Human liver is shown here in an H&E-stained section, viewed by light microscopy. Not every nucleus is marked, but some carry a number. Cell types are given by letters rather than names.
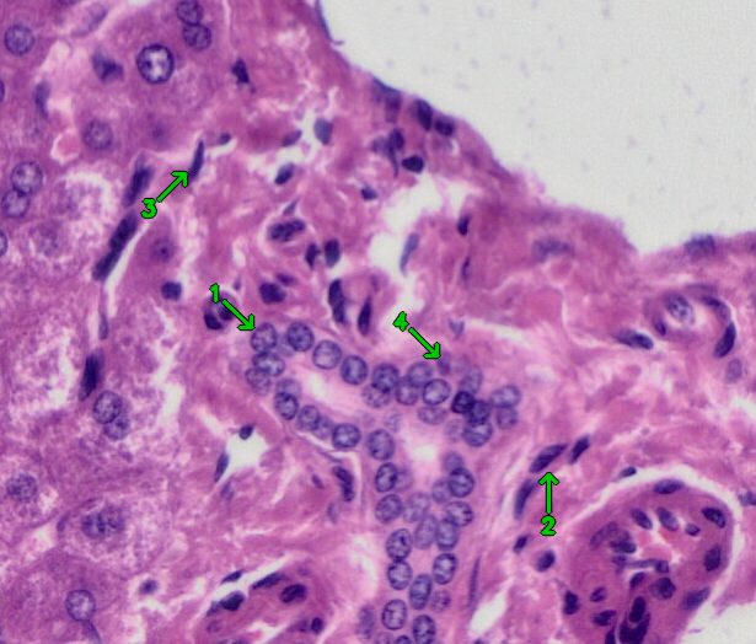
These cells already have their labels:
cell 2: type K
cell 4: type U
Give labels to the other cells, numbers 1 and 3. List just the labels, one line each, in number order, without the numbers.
type U
type K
